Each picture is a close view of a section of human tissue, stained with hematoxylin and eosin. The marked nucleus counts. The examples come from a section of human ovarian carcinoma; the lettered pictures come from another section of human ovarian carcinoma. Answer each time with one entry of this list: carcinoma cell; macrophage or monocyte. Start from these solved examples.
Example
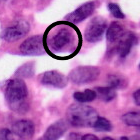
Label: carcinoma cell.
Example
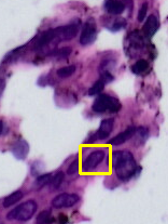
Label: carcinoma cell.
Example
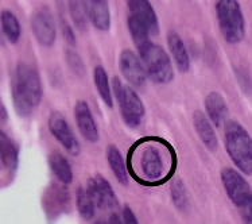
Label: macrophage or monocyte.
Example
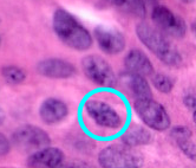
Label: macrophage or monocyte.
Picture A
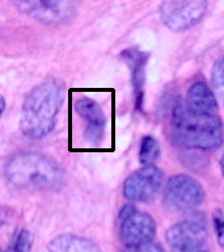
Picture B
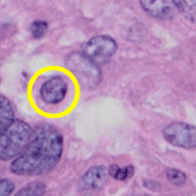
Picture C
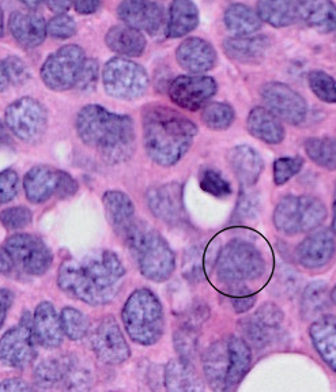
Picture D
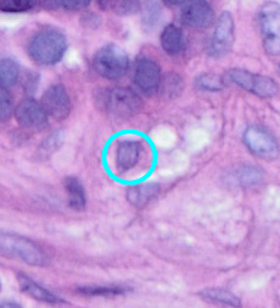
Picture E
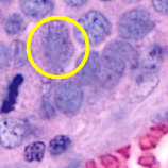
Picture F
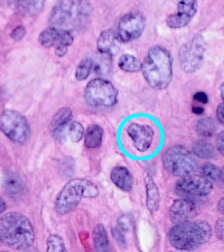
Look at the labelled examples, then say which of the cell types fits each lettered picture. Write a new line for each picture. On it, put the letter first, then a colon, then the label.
A: macrophage or monocyte.
B: macrophage or monocyte.
C: carcinoma cell.
D: macrophage or monocyte.
E: carcinoma cell.
F: macrophage or monocyte.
